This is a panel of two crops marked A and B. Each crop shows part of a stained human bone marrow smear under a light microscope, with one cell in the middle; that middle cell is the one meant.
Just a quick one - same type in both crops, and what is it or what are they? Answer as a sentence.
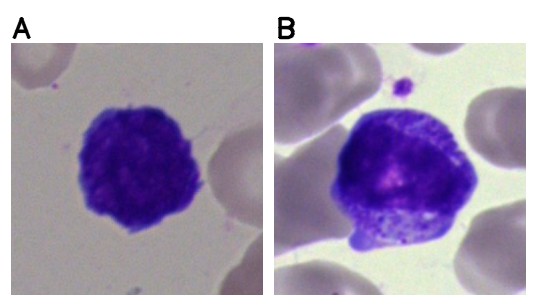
No, the middle of crop A shows a blast, and the middle of crop B shows a myelocyte.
